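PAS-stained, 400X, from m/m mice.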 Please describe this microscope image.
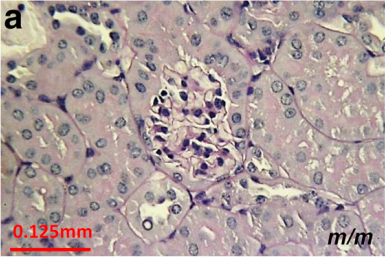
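This is renal cortex with a small glomerulus near the center, surrounded by tubules. The glomerular tuft is compact and holds a cluster of dark purple nuclei with little pink matrix between them. The tubules all around are lined by cuboidal cells with pale pink cytoplasm and round nuclei, and their lumina are narrow.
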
